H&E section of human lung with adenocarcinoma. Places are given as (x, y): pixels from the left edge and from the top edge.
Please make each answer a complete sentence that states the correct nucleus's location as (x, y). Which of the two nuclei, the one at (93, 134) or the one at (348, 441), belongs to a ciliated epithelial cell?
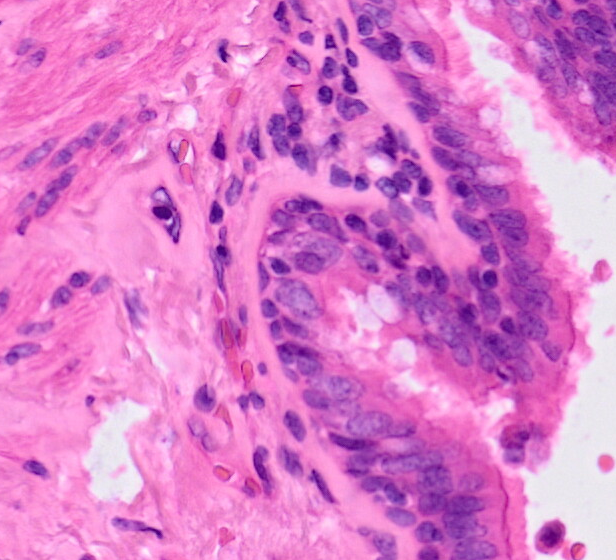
So, of the two, the nucleus at (348, 441) is the one belonging to a ciliated epithelial cell.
